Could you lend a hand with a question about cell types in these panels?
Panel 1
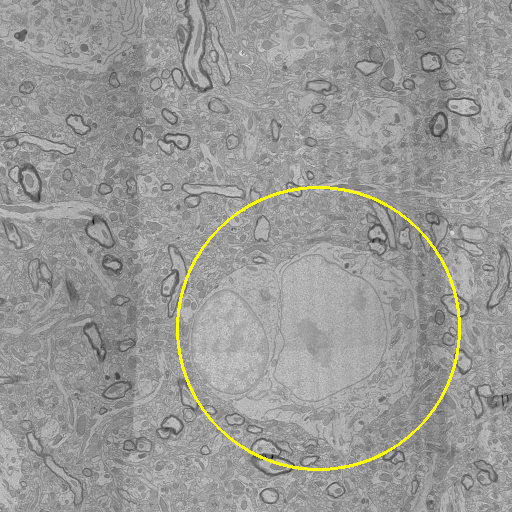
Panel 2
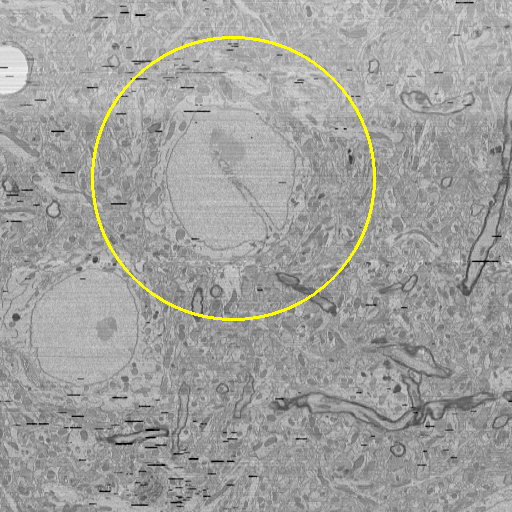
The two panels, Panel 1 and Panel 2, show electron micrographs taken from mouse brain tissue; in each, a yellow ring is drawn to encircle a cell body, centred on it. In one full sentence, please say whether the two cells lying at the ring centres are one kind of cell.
Yes, the cells at the ring centres in the two panels are one kind of cell.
